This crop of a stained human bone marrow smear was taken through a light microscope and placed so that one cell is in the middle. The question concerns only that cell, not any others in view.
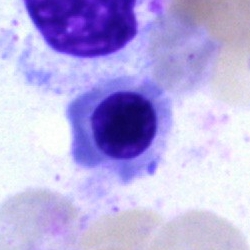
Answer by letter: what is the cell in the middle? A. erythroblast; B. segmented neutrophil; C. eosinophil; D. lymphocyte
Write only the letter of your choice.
A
